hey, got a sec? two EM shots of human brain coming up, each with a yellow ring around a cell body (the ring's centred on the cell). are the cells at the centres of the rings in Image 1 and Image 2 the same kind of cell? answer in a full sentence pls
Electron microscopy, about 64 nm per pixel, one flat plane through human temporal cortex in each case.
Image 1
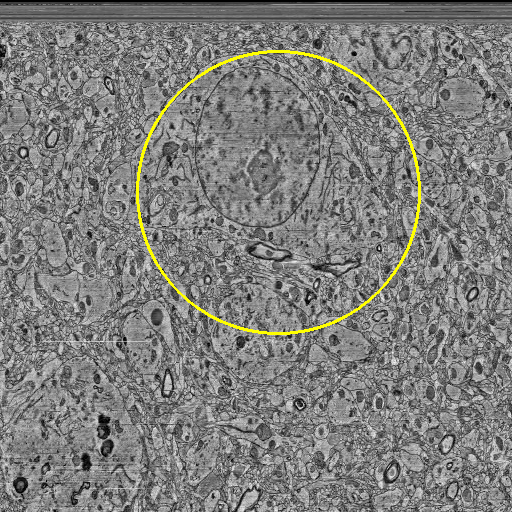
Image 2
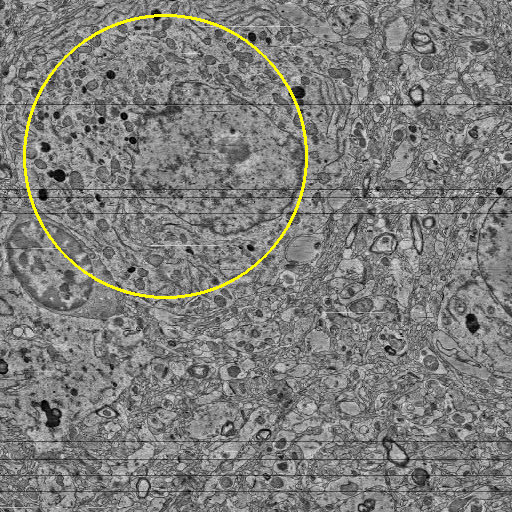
No, they are two kinds of cell.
